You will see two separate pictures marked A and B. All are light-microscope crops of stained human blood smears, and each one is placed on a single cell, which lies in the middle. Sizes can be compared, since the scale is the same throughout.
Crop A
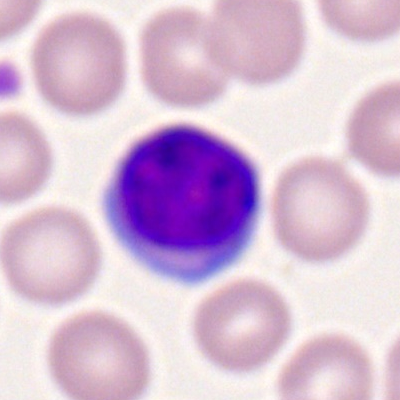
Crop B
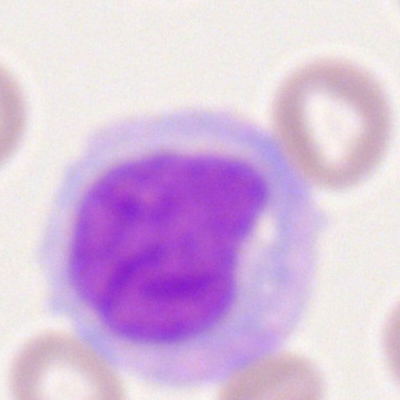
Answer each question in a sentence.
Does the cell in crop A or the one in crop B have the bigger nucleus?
It is the nucleus in crop B, about 2.5 times as large in area as the one in crop A.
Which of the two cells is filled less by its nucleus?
Of the two, the nucleus in crop B leaves more room for cytoplasm.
